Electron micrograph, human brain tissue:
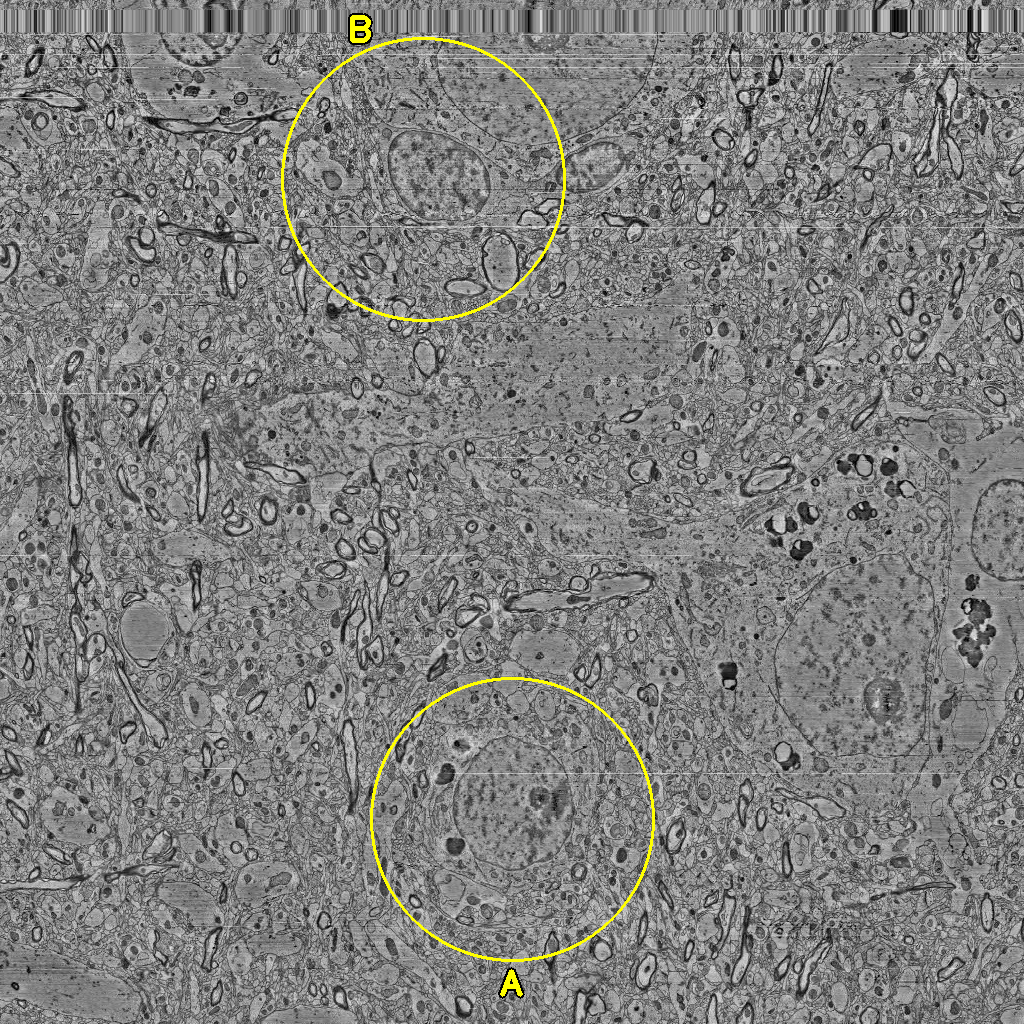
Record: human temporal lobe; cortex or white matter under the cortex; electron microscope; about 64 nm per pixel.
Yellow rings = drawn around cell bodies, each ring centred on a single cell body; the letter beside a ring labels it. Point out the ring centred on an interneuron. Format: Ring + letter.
Ring A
